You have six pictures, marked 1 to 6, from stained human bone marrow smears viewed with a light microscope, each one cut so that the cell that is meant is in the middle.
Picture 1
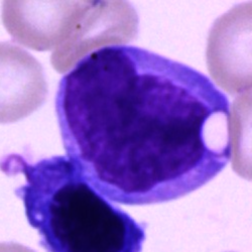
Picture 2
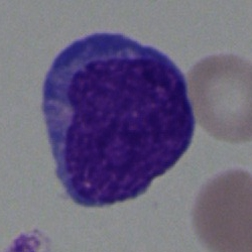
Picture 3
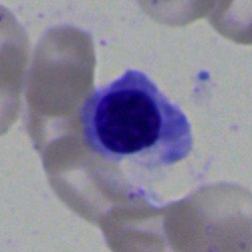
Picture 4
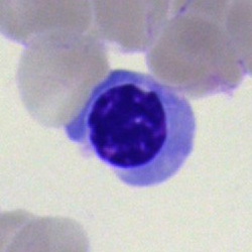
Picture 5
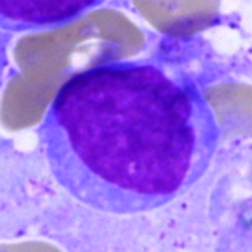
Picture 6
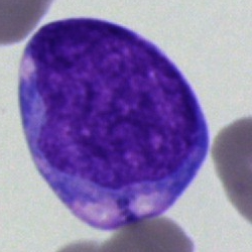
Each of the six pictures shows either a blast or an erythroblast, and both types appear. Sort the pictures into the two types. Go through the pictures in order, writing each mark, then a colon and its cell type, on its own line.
1: blast
2: blast
3: erythroblast
4: erythroblast
5: blast
6: blast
